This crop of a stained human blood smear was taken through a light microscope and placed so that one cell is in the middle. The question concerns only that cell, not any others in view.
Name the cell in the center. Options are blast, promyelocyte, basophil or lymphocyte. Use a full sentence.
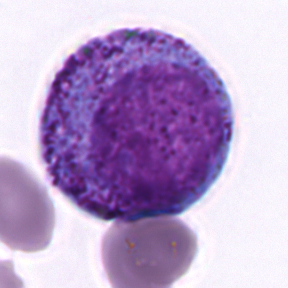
Whatever else lies nearby, the middle cell is a promyelocyte.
